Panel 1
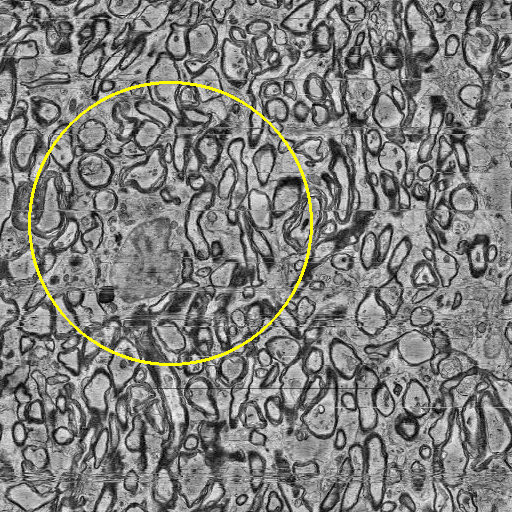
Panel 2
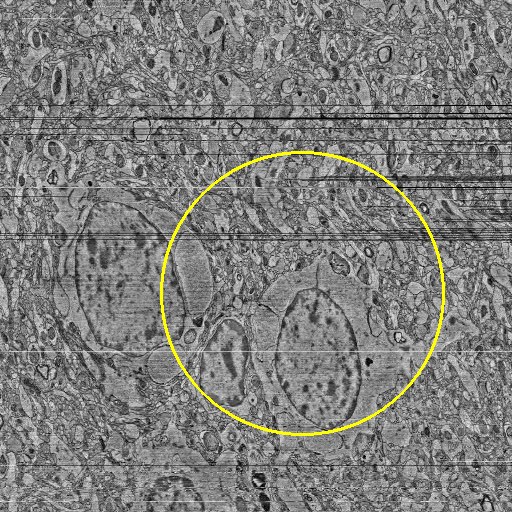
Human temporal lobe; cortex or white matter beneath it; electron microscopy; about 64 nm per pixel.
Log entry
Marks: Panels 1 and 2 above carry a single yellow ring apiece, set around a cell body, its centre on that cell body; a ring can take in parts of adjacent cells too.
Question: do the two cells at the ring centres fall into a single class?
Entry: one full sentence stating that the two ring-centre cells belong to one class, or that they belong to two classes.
The two ring-centre cells in Panels 1 and 2 belong to two classes.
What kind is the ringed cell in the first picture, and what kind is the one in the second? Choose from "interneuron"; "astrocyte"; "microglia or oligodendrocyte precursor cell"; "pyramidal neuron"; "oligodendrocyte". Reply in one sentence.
The first cell is an oligodendrocyte; the second is an astrocyte.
